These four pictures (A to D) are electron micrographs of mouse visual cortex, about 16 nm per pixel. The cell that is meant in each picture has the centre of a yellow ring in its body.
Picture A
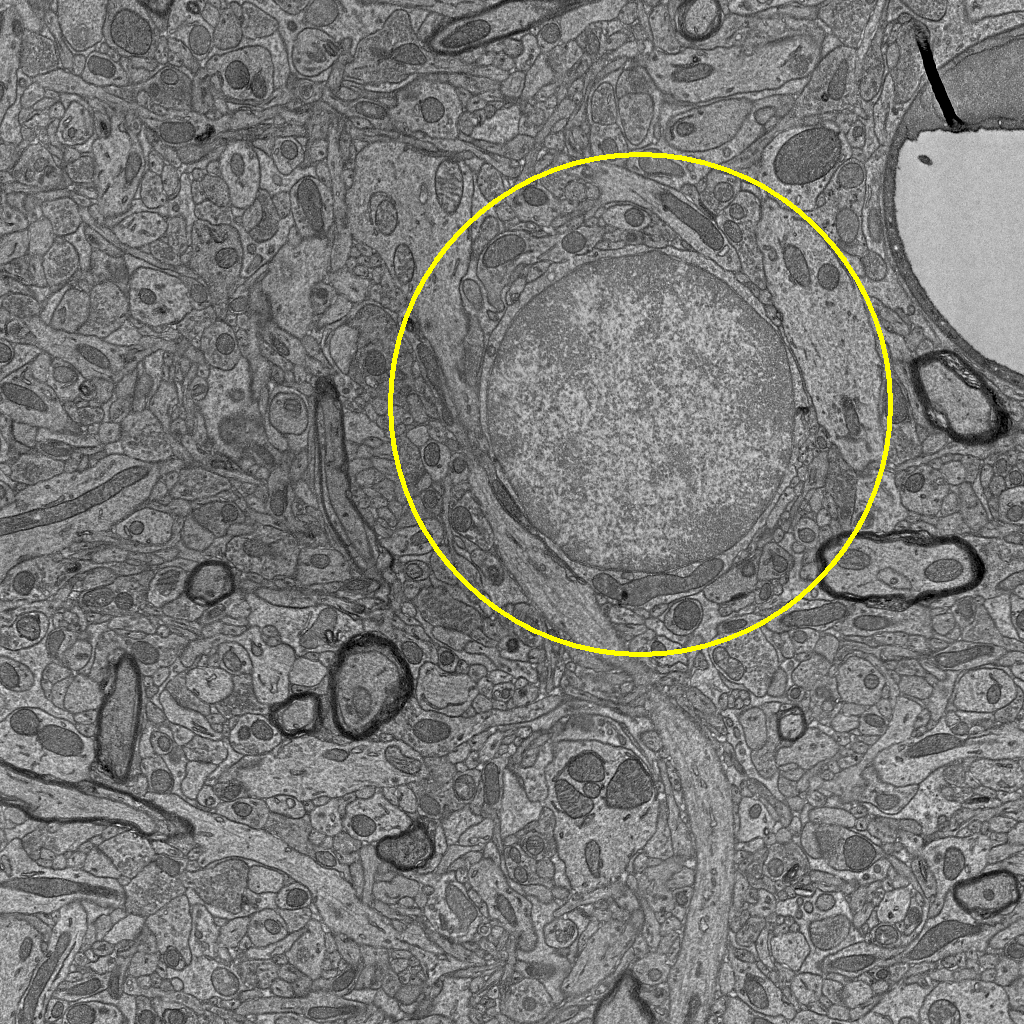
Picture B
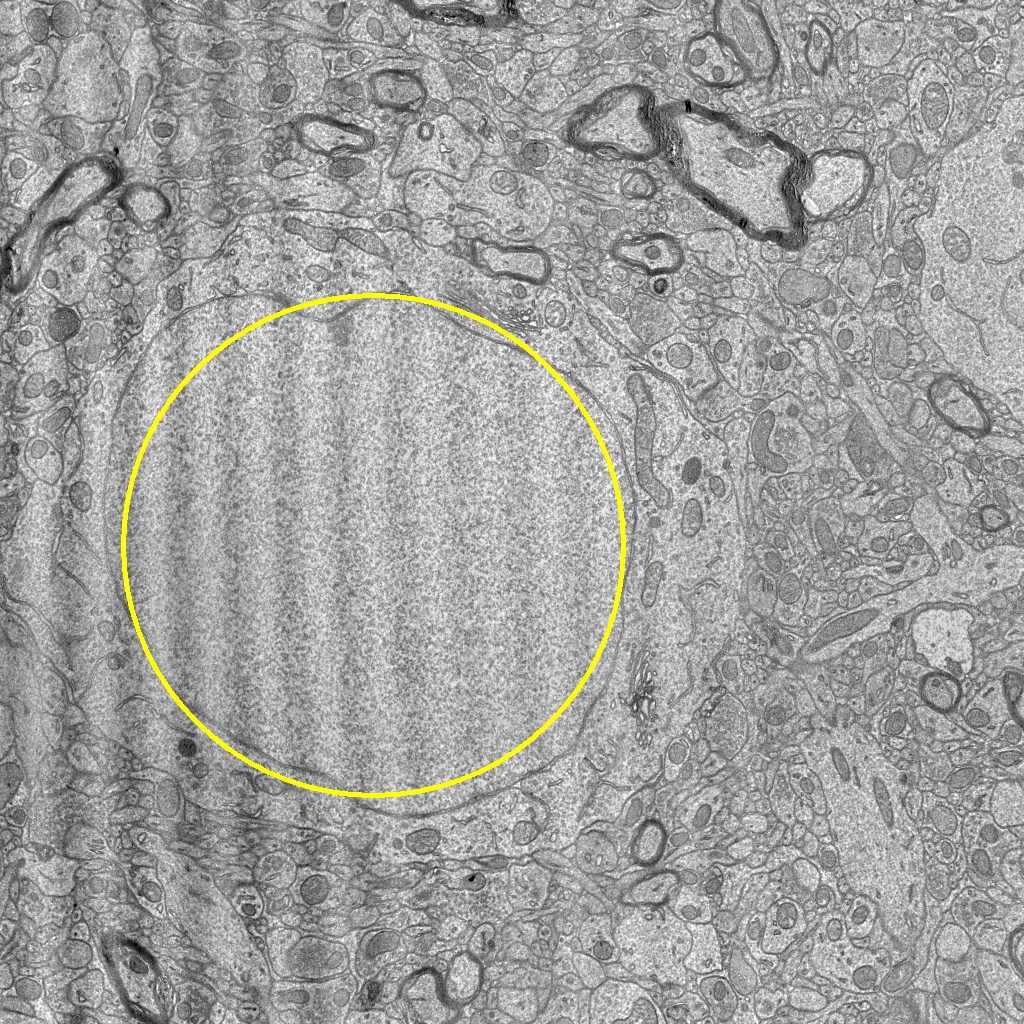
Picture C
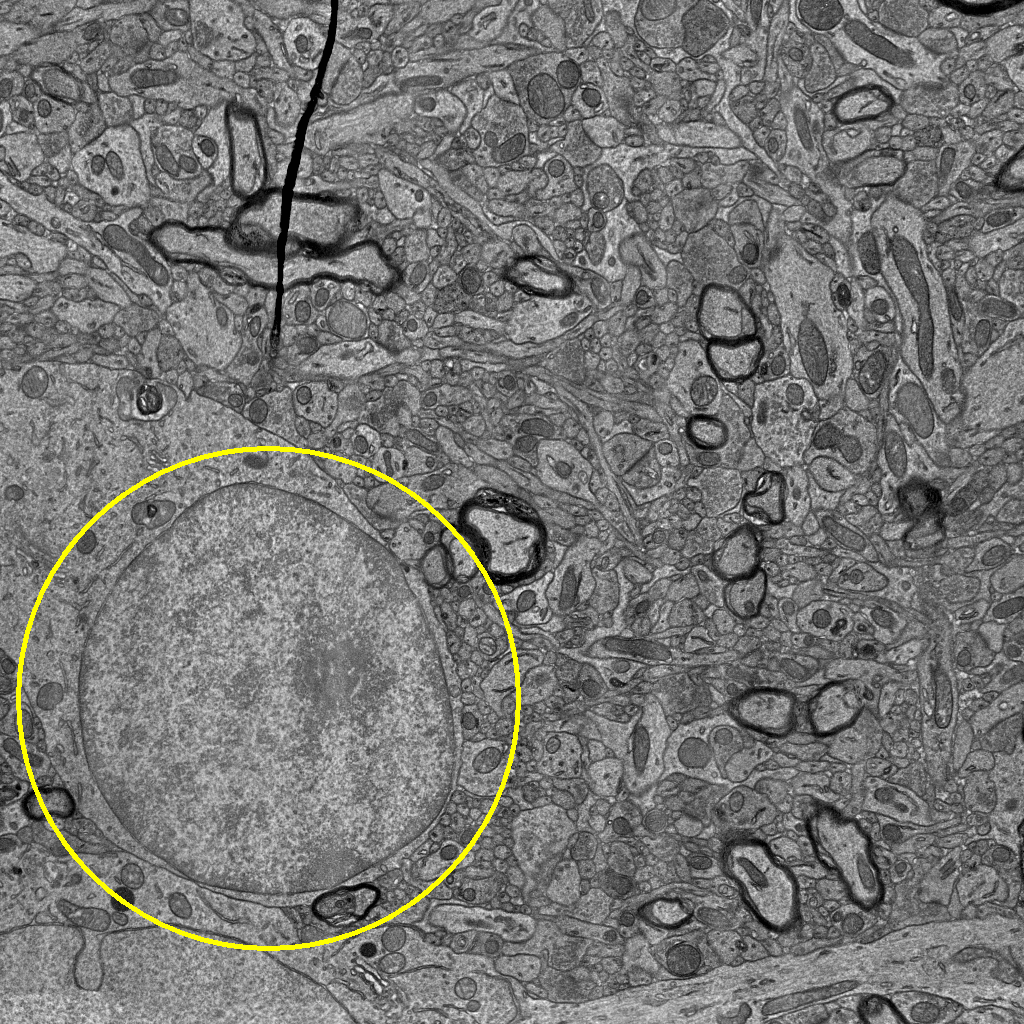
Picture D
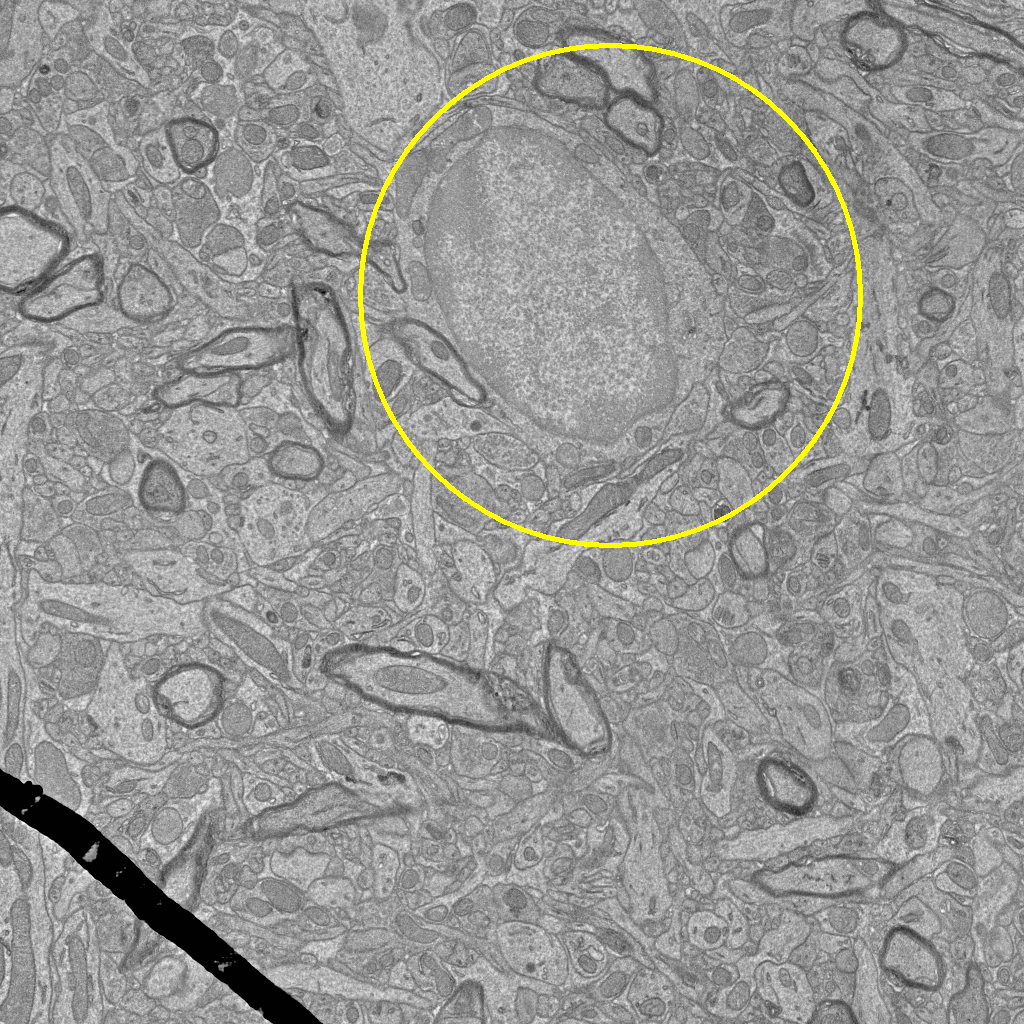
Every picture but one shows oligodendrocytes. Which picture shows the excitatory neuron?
The cell in picture B is the excitatory neuron.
